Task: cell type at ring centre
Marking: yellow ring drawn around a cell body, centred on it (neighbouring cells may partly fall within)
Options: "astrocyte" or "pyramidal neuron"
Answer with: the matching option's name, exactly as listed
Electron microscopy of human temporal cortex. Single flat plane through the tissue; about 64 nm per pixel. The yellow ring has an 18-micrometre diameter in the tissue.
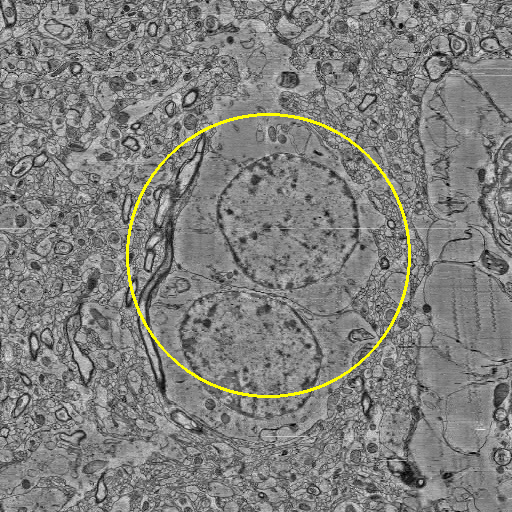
astrocyte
